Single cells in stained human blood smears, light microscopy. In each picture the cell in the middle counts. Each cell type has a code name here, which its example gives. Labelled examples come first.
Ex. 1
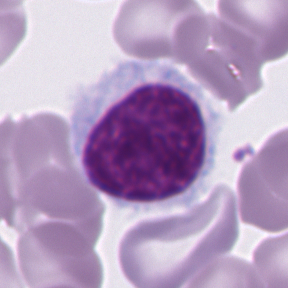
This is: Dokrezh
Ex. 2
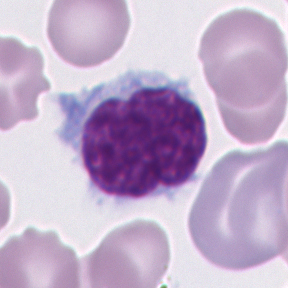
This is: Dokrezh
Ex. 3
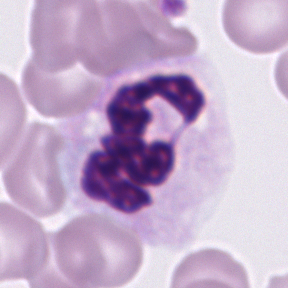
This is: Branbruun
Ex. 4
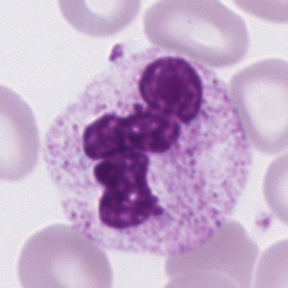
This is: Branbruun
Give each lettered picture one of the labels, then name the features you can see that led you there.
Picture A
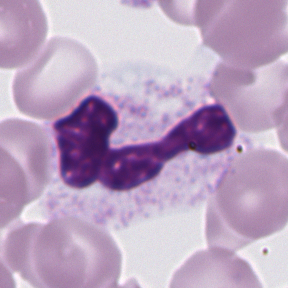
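Answer: Branbruun. A wide area of pale, faintly lilac cytoplasm surrounds the nucleus.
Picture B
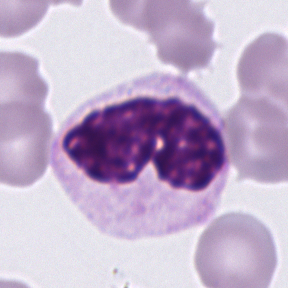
Answer: Branbruun. The nucleus has a deep notch in its lower edge, which divides it into two lobes joined along the top.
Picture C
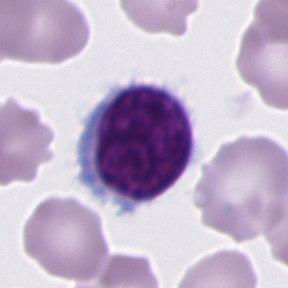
Answer: Dokrezh. The cytoplasm forms a narrow rim that is widest on the left side.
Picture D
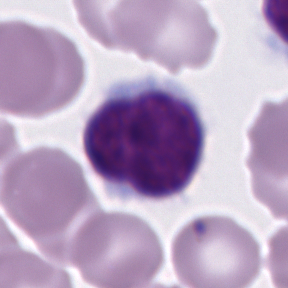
Answer: Dokrezh. The cytoplasm forms only a thin rim around the nucleus.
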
